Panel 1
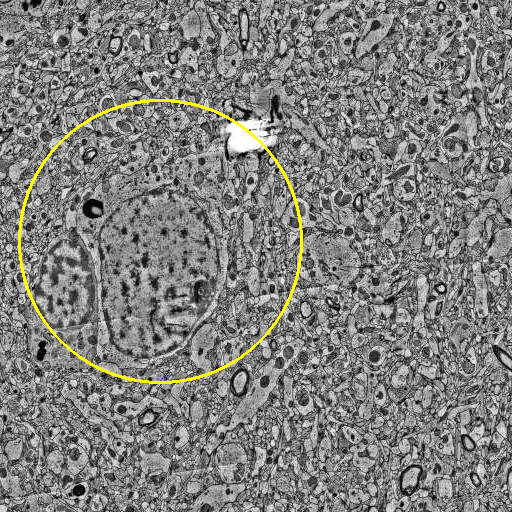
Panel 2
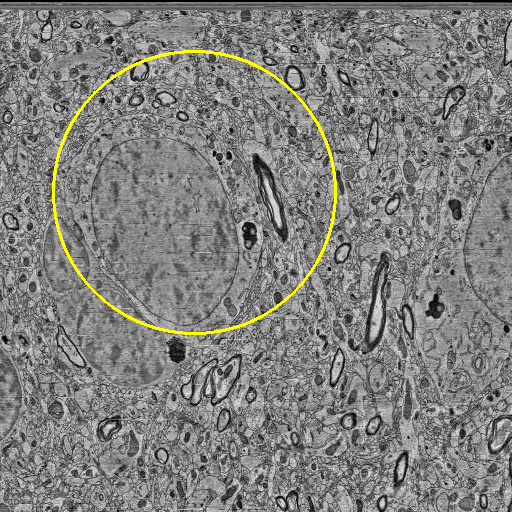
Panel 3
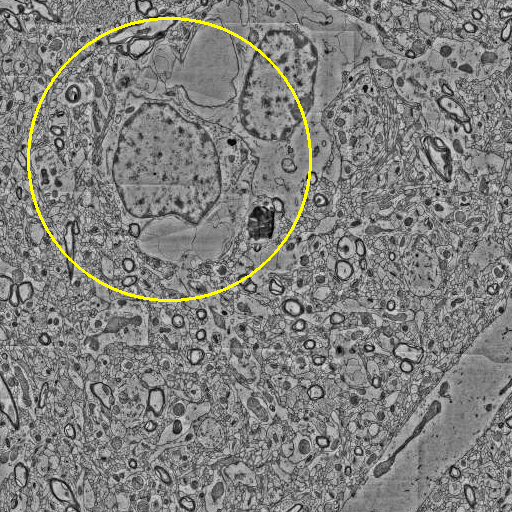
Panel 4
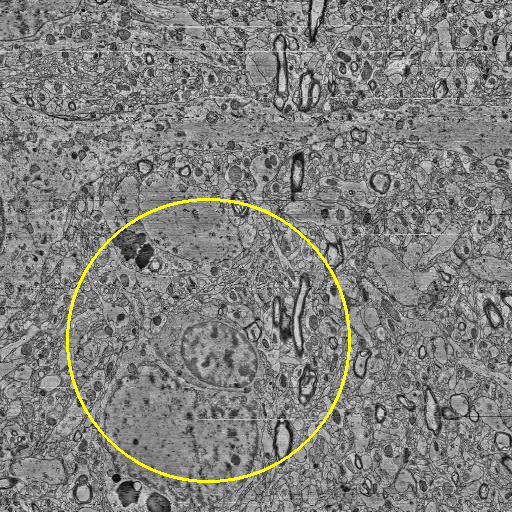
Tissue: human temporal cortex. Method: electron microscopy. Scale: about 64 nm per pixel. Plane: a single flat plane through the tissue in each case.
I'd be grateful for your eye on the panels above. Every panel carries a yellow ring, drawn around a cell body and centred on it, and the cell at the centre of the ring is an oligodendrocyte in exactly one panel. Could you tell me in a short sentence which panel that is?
Panel 4 is the one with it at the centre of the ring.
